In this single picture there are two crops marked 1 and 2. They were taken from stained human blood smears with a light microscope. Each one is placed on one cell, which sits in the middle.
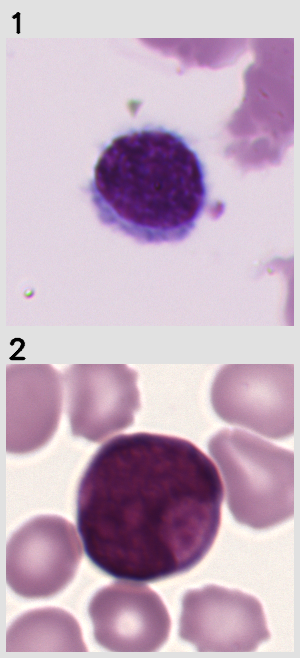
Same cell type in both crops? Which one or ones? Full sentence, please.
No, it is a hairy cell in crop 1 and a myeloblast in crop 2.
